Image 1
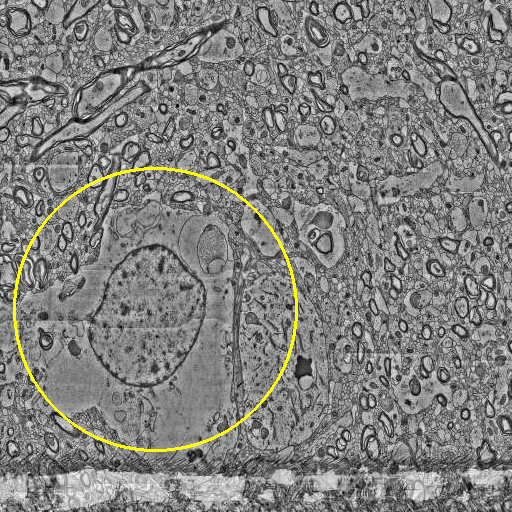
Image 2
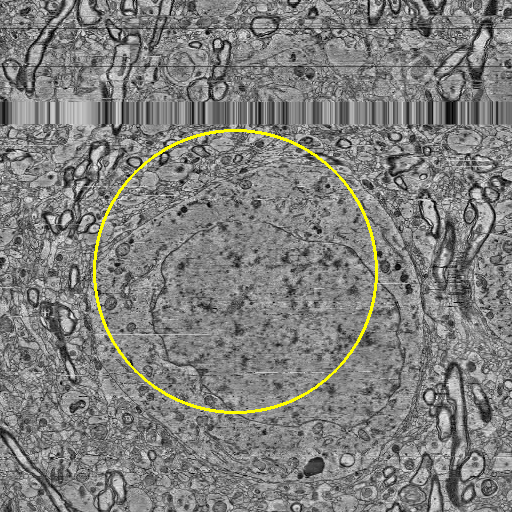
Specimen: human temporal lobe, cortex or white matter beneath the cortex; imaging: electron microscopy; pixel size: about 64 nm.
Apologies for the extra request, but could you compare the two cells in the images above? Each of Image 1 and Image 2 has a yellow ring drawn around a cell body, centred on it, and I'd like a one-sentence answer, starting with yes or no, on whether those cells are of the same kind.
No, the two cells are of two kinds.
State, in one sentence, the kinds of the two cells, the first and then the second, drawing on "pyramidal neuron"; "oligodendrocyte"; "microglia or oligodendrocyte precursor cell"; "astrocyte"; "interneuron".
The ring in the second picture is centred on a pyramidal neuron, the ring in the first on an astrocyte.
